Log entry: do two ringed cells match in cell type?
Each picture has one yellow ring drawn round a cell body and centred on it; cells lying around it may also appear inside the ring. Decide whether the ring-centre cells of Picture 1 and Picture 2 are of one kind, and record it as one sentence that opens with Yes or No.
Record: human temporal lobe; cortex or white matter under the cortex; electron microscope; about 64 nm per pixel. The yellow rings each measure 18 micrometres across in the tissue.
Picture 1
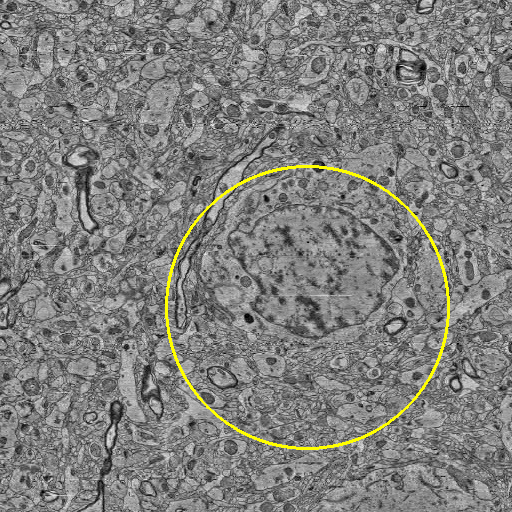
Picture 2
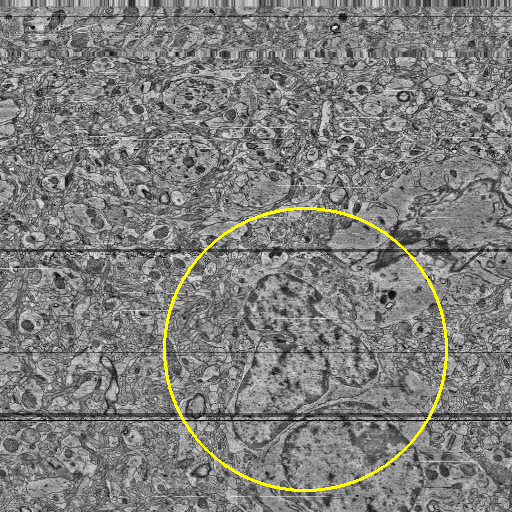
No, the cells at the ring centres of the two pictures belong to two kinds.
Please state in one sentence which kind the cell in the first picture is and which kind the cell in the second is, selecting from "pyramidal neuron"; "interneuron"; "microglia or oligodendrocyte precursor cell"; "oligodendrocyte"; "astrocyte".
The first ringed cell is an interneuron, the second ringed cell a microglial cell or oligodendrocyte precursor cell.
